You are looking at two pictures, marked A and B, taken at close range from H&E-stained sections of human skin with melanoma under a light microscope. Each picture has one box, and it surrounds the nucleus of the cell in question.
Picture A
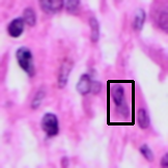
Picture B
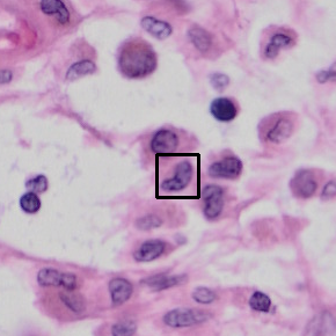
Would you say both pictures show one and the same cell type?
yes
